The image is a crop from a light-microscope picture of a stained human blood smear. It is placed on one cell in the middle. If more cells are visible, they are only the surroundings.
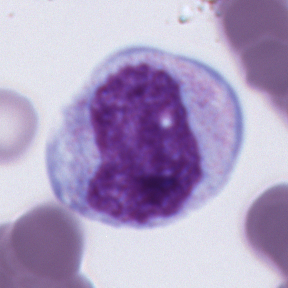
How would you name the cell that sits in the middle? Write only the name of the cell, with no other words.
metamyelocyte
